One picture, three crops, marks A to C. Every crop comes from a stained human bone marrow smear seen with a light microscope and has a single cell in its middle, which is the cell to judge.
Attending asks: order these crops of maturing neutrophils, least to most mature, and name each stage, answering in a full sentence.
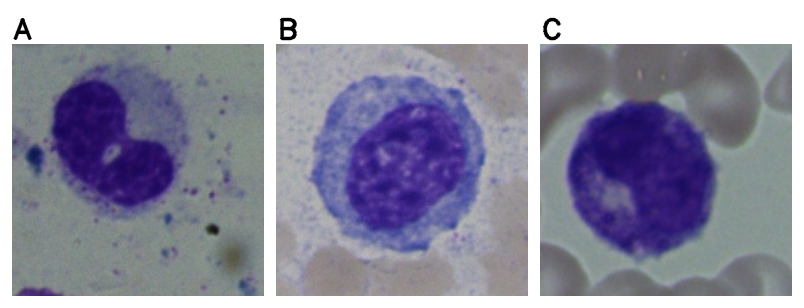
Least mature to most mature, the lineup is crop B (a myelocyte), crop C (a metamyelocyte) and crop A (a band neutrophil).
